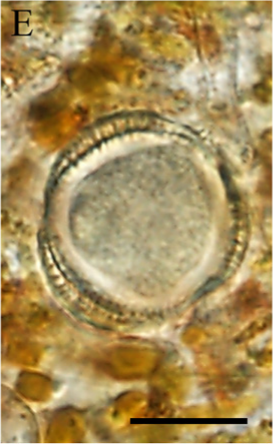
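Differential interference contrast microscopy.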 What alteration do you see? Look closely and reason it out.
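The granular cell content is smaller than the space inside the wall. A clear gap separates the content from the wall on one side. The wall is thick and ridged. The answer: the cytoplasm has shrunk to an irregular shape.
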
